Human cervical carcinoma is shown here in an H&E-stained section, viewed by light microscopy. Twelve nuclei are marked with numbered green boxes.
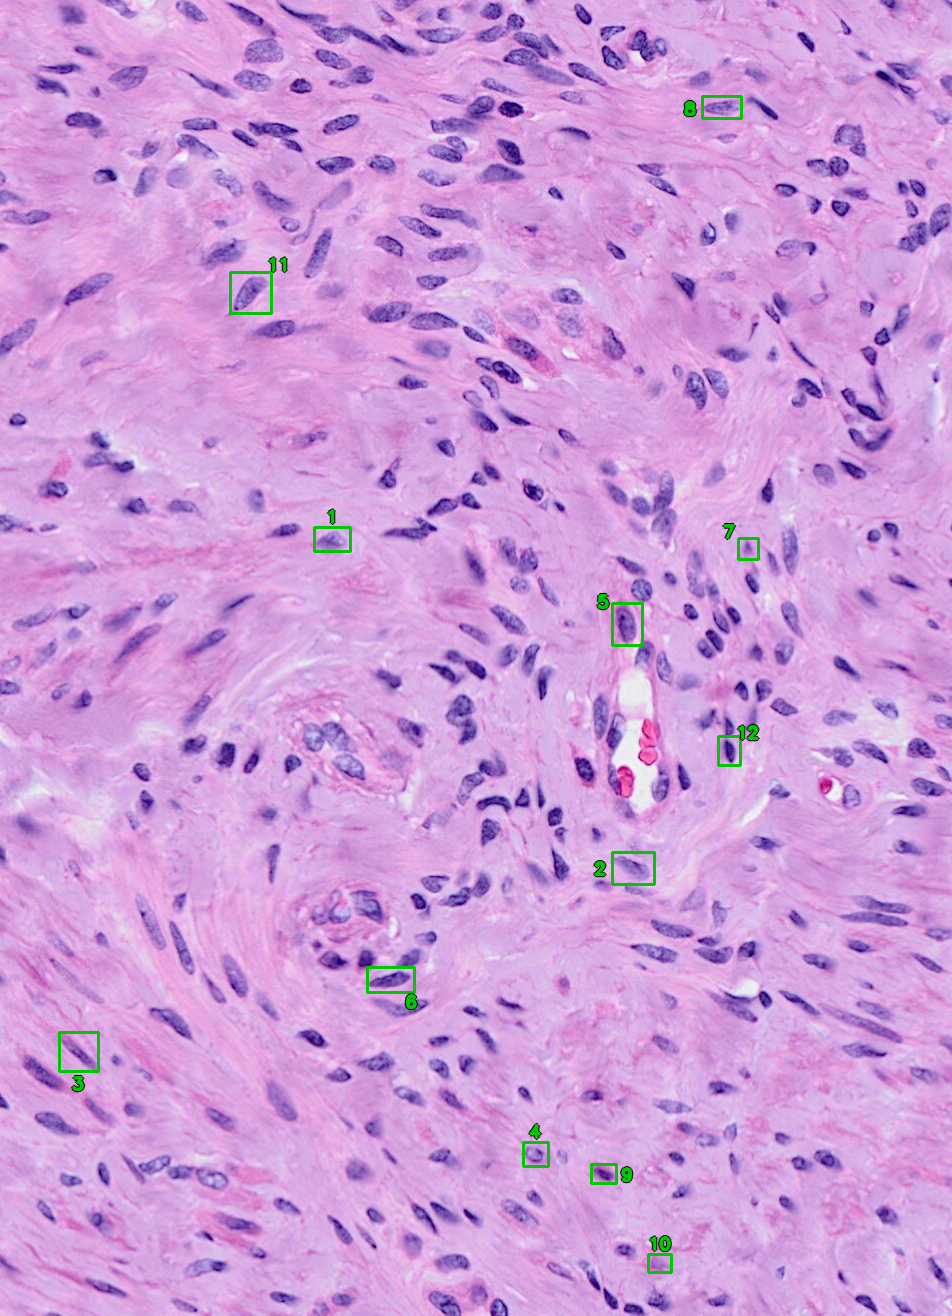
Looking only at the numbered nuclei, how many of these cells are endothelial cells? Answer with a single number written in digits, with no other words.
1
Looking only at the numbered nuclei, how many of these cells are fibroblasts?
7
